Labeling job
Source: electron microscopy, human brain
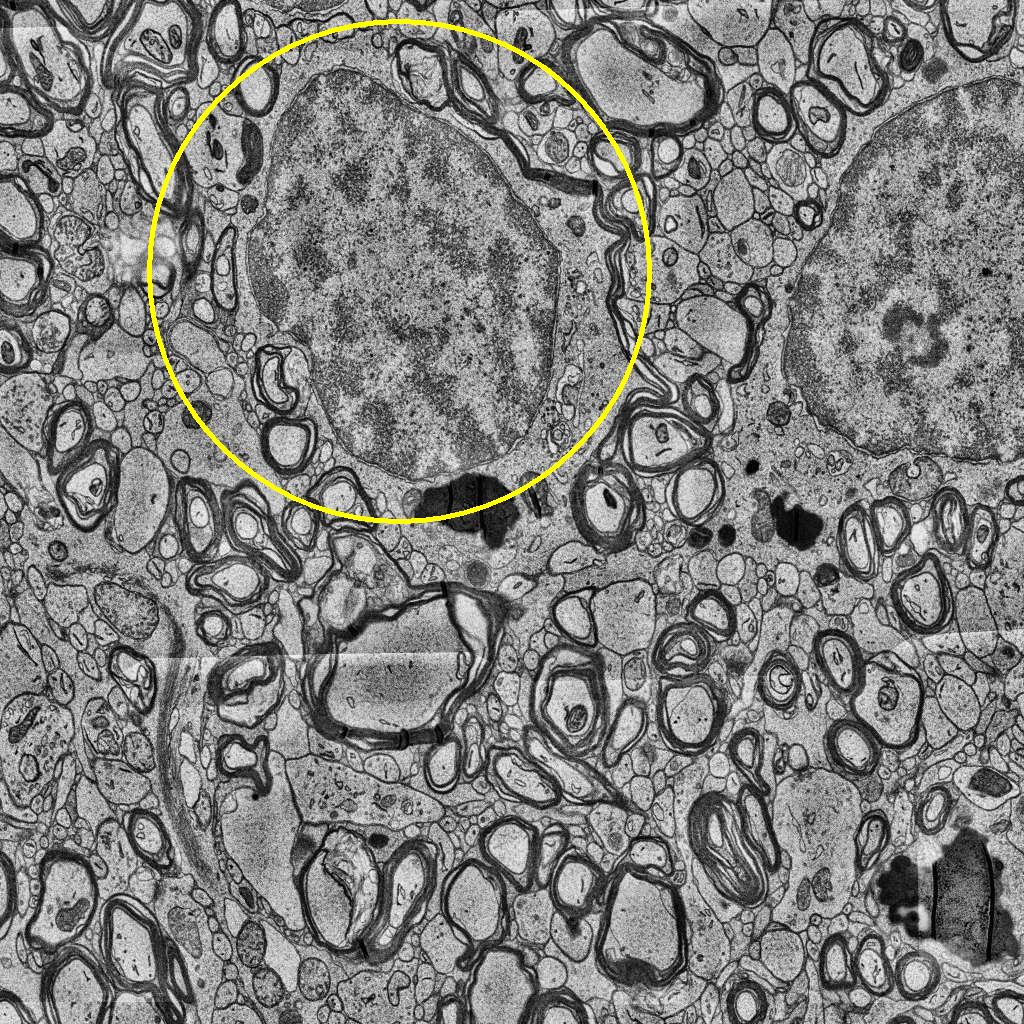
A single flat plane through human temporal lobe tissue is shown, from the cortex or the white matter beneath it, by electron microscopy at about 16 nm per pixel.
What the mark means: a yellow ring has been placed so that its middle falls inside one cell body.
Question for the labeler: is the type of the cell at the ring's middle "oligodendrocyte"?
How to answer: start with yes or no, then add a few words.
Yes, that is its type.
